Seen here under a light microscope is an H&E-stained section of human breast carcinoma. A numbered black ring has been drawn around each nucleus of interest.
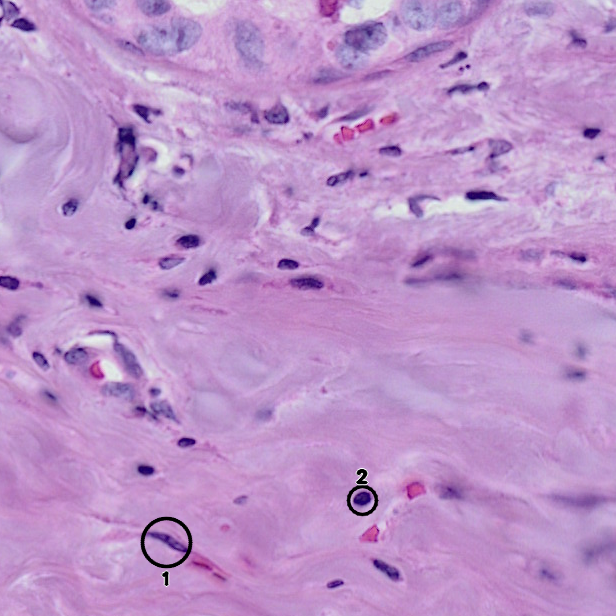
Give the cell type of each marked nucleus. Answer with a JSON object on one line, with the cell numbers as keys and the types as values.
{"1": "fibroblast", "2": "lymphocyte"}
